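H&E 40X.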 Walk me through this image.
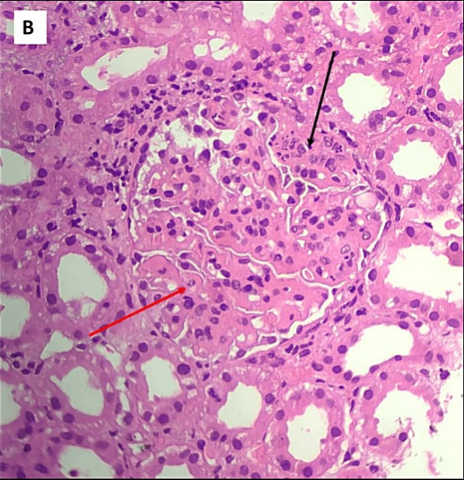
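The tuft is hypercellular, with its lobules accentuated and its capillary lumens filled and narrowed by cells. Within it lies a cluster of small, dark, fragmented nuclear bits. One capillary loop has a thickened, glassy pink wall. Between the tubules, especially above the glomerulus, the interstitium contains a mixed infiltrate of small round dark inflammatory cells.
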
